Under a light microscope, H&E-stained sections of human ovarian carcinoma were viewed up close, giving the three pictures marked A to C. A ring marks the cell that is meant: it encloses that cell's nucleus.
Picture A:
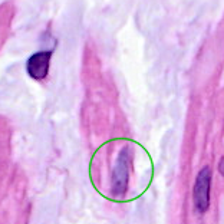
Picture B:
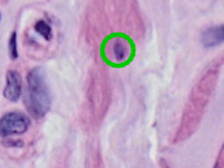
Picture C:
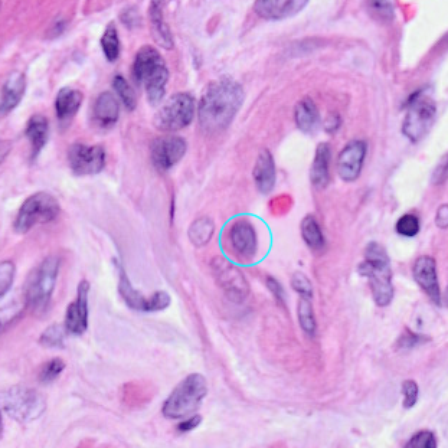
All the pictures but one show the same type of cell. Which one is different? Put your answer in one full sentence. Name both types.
The others show smooth muscle cells, but picture C shows an endothelial cell.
